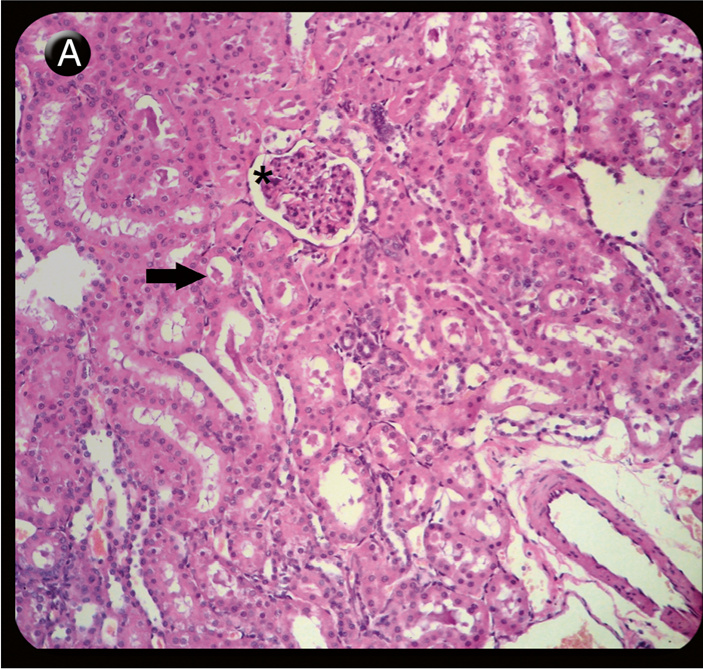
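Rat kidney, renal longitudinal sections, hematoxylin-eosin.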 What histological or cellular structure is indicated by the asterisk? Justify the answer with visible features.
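A rounded tuft of densely packed cells with many nuclei. The tuft is surrounded by a thin clear space and a thin outer capsule. It lies among cross-sectioned tubules.
Conclusion: glomeruli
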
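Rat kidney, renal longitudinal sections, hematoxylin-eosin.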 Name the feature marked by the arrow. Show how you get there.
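Tubules. The arrow points at a small tubule lumen lined by pink epithelial cells. Tubules with cuboidal cells around lumina fill the field.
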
